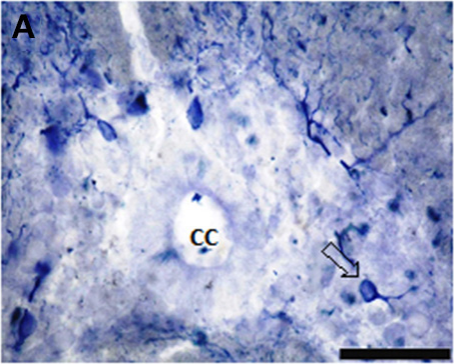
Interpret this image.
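This is a section of spinal cord grey matter around a round, pale central cavity. Scattered dark blue neuron cell bodies lie in a pale, faintly stippled background, and several send out thin, stained processes. Some are pear-shaped, with one tapering process, and others give off several branching processes.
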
